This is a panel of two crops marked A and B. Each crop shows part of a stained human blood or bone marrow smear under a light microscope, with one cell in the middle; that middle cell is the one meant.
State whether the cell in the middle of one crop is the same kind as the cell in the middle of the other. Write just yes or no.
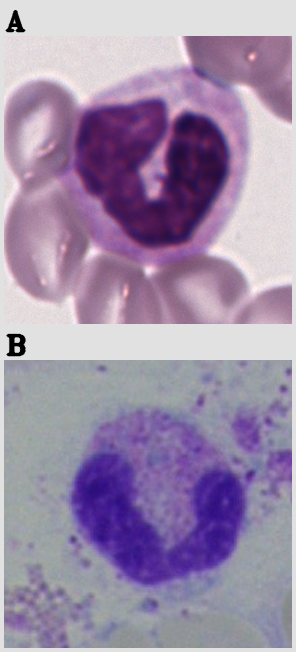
yes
